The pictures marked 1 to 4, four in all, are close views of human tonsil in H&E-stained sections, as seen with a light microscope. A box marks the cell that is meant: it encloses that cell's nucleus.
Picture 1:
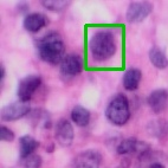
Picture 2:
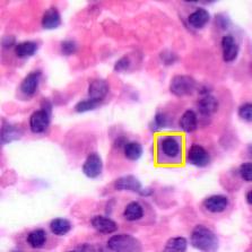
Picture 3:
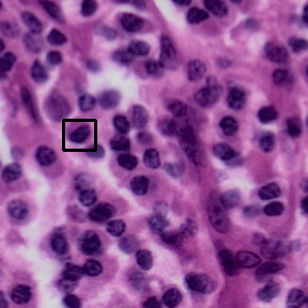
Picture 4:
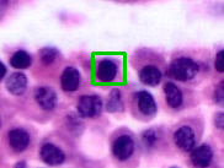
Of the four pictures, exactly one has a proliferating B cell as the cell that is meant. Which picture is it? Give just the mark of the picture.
1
